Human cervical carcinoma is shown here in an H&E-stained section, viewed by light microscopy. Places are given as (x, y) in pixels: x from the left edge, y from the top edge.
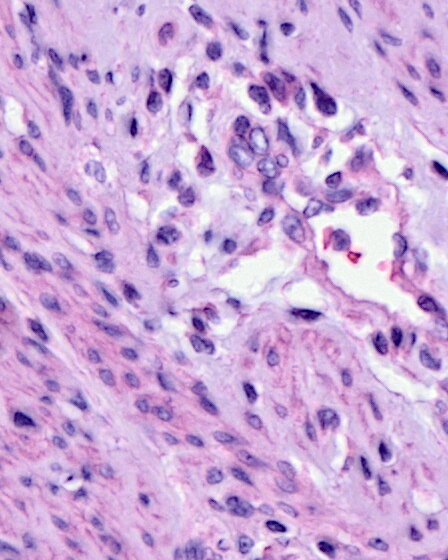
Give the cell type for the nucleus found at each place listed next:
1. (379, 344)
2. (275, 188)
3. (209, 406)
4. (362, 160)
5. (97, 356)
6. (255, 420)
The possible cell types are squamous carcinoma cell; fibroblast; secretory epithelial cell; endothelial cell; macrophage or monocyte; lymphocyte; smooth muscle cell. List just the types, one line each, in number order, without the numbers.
lymphocyte
endothelial cell
smooth muscle cell
macrophage or monocyte
smooth muscle cell
smooth muscle cell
